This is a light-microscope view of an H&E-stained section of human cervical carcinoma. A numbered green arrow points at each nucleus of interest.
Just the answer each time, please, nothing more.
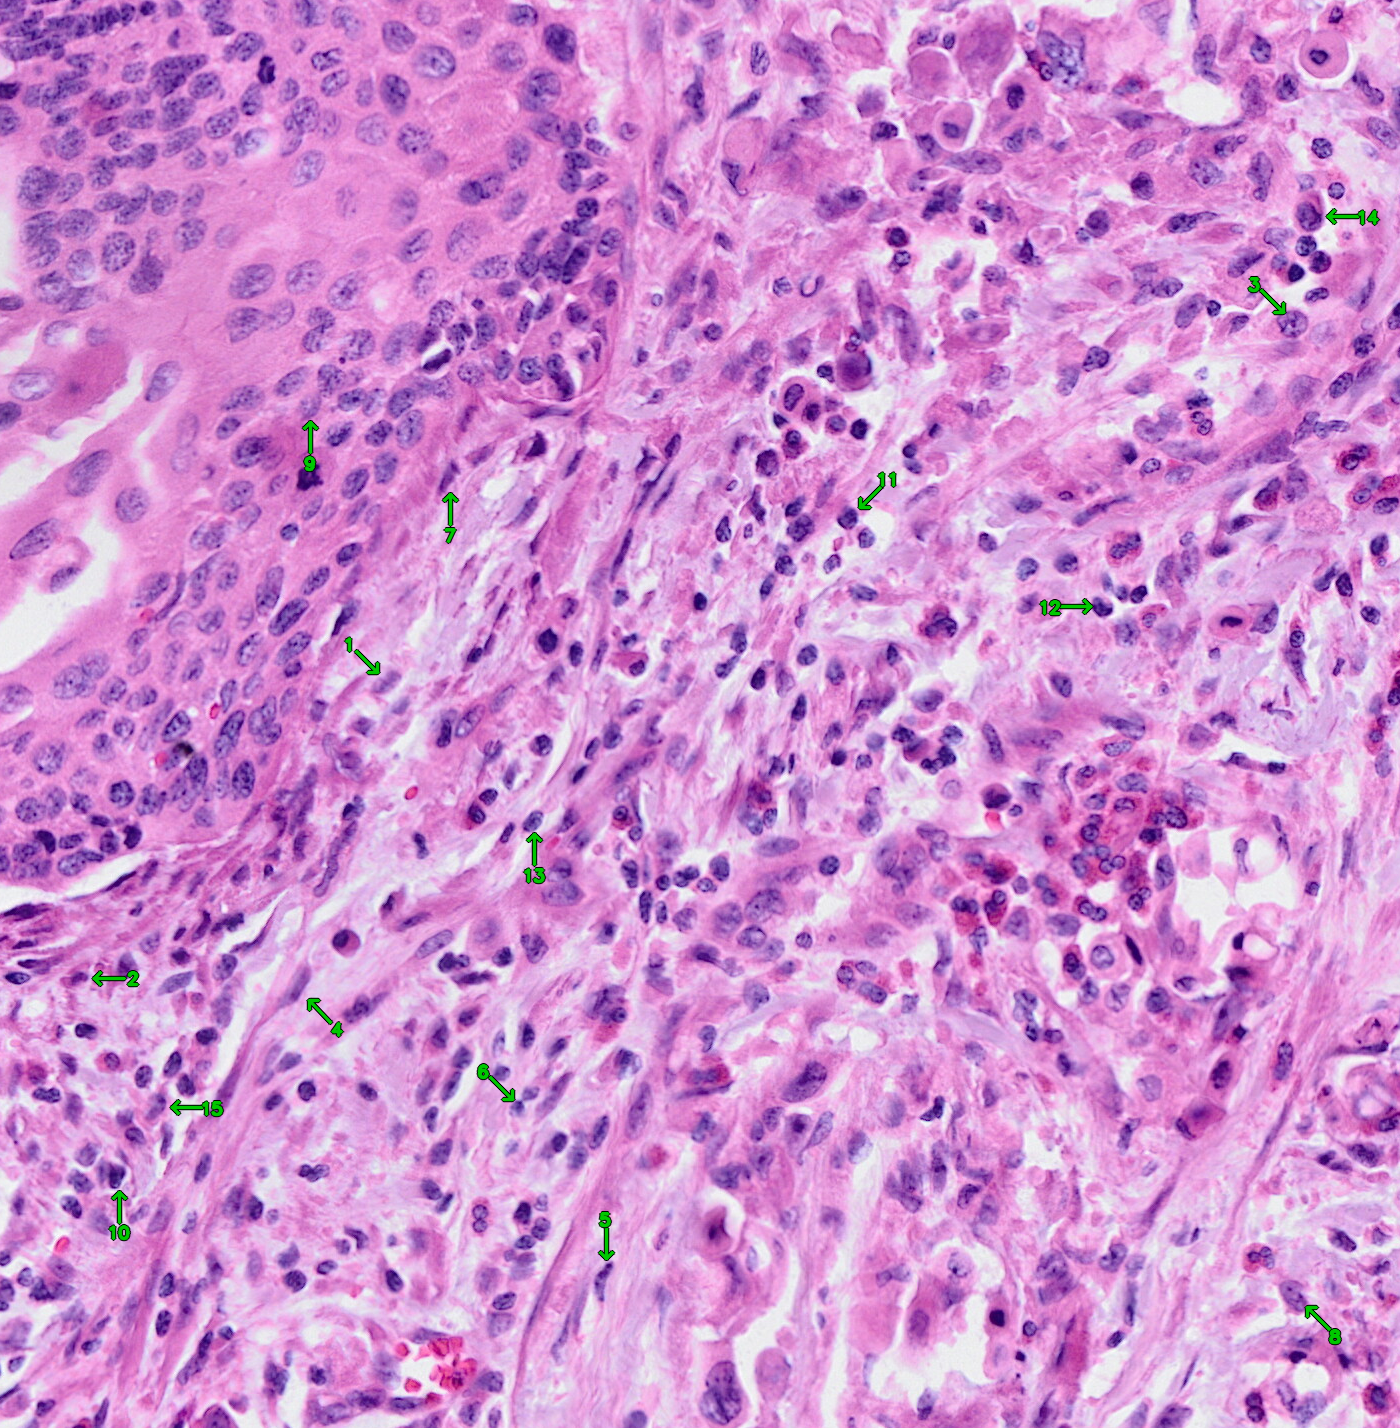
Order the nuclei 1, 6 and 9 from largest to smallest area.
9, 1, 6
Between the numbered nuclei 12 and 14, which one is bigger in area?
14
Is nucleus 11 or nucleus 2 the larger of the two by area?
11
